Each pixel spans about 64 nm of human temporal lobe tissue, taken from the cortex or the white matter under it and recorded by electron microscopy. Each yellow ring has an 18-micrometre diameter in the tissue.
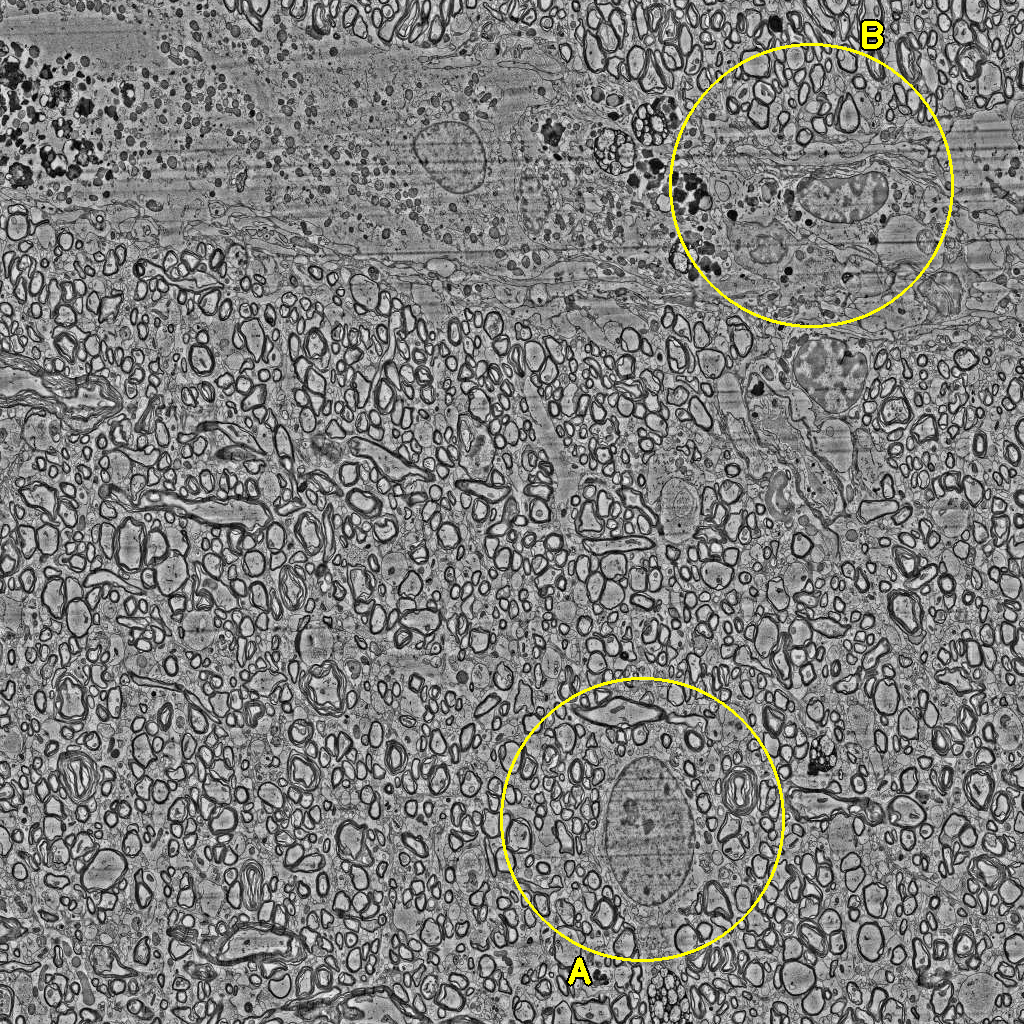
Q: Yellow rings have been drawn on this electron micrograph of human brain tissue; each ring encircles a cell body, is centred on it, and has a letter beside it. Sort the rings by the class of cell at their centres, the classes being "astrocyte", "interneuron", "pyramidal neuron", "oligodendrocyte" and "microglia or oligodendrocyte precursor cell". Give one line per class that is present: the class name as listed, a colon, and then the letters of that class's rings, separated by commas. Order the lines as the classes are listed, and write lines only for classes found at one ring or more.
astrocyte: A
microglia or oligodendrocyte precursor cell: B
